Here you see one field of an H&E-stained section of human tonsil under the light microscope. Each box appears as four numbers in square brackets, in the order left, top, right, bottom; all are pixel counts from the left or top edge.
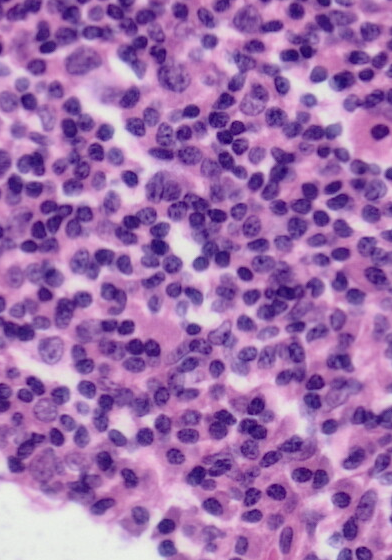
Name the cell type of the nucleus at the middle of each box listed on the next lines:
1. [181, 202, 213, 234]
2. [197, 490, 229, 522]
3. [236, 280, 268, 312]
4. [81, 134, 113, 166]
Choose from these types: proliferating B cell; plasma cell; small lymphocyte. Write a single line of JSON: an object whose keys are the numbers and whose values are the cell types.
{"1": "small lymphocyte", "2": "plasma cell", "3": "small lymphocyte", "4": "small lymphocyte"}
